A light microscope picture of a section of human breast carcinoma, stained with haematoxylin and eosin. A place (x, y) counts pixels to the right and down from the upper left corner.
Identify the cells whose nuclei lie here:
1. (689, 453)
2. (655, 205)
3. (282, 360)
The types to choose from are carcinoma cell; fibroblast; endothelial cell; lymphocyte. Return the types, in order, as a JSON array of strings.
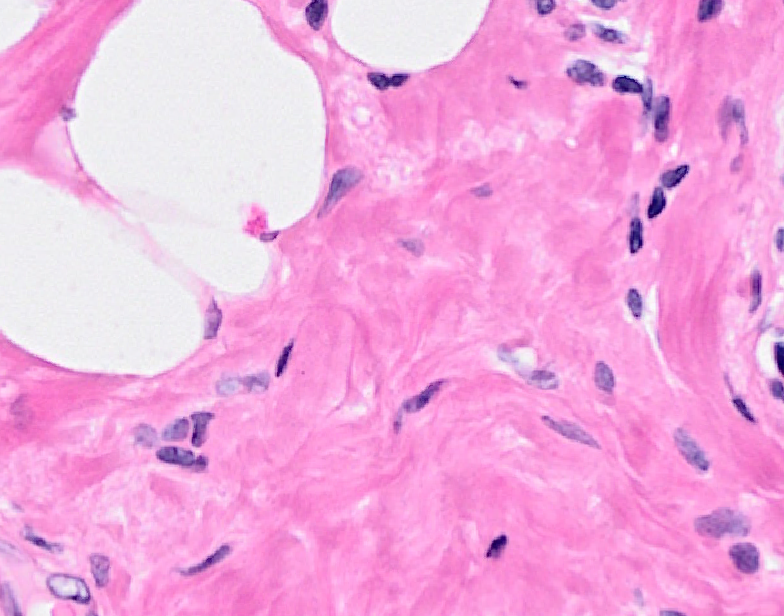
["fibroblast", "lymphocyte", "fibroblast"]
